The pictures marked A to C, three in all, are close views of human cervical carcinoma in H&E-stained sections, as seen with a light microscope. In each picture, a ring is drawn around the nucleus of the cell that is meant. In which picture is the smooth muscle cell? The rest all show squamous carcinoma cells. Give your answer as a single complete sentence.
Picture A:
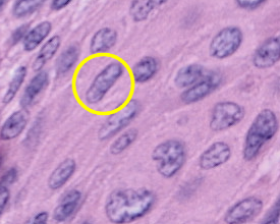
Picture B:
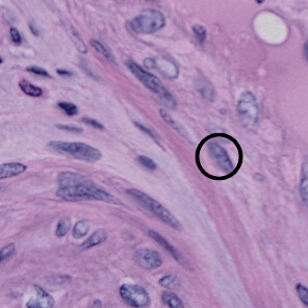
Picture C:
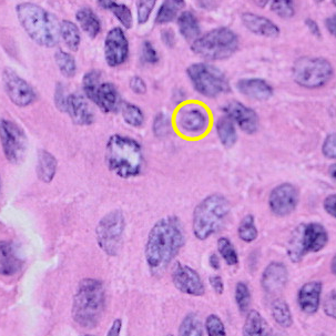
Picture B shows the smooth muscle cell.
